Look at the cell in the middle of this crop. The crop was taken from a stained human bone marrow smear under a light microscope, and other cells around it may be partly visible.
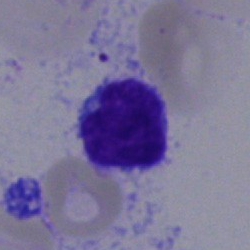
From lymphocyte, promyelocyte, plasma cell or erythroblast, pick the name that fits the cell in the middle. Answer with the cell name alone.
lymphocyte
